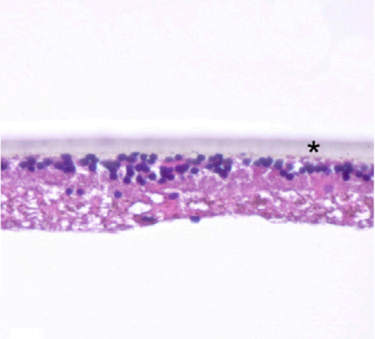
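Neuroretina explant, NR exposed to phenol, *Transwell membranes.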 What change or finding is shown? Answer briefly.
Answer: loss of retinal structure, cell nuclei, and retinal parenchyma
